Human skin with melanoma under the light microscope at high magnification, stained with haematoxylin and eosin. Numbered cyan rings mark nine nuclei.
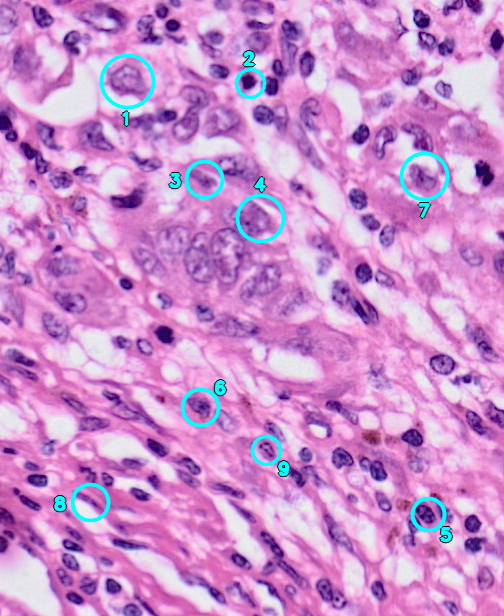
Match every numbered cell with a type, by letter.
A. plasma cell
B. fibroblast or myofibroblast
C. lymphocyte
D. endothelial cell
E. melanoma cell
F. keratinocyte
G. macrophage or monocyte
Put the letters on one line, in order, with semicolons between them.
E; C; E; E; A; C; E; B; A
